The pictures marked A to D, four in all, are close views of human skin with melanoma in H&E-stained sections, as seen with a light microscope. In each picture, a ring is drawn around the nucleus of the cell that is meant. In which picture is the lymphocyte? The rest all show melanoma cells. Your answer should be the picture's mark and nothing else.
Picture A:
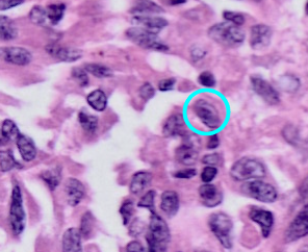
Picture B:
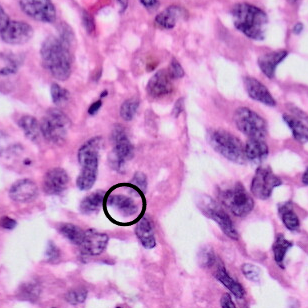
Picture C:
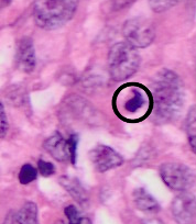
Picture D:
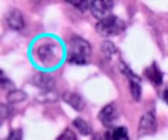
C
